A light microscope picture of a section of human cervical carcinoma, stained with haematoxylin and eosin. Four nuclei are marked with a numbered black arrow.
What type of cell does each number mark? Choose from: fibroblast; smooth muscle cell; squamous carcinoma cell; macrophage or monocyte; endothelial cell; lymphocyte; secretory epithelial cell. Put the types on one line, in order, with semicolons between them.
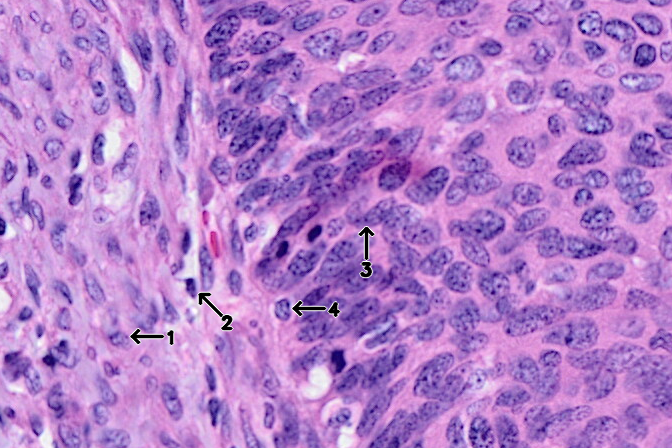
smooth muscle cell; lymphocyte; squamous carcinoma cell; lymphocyte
